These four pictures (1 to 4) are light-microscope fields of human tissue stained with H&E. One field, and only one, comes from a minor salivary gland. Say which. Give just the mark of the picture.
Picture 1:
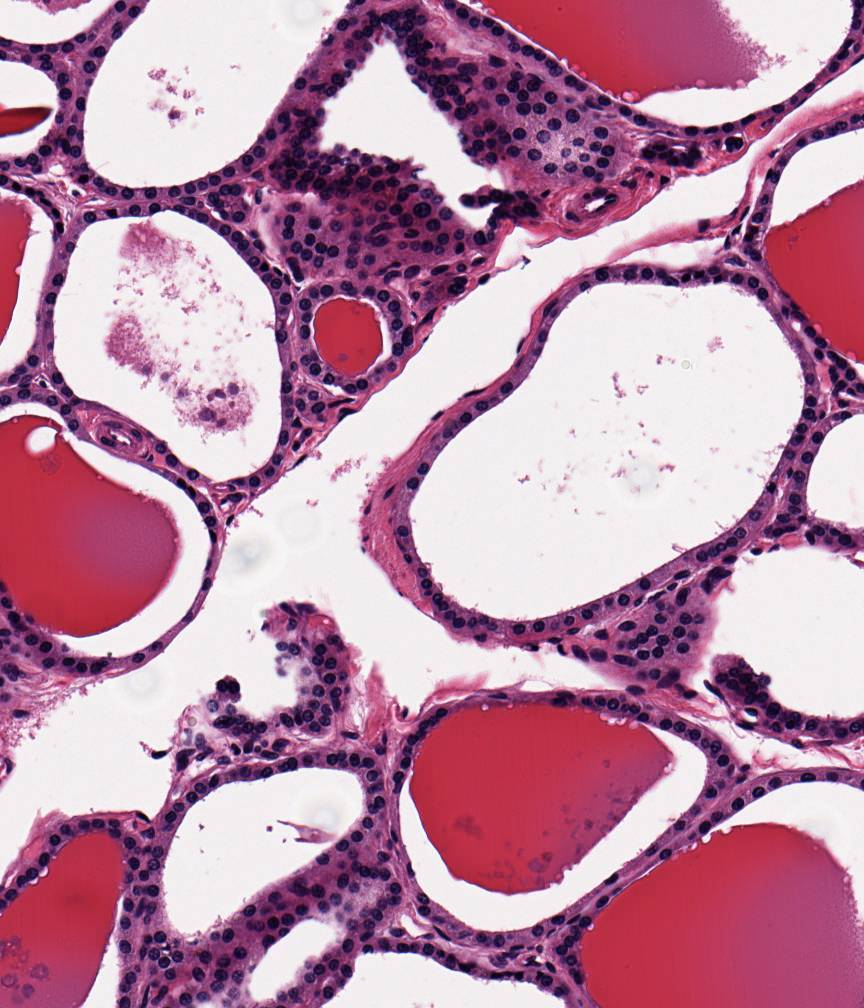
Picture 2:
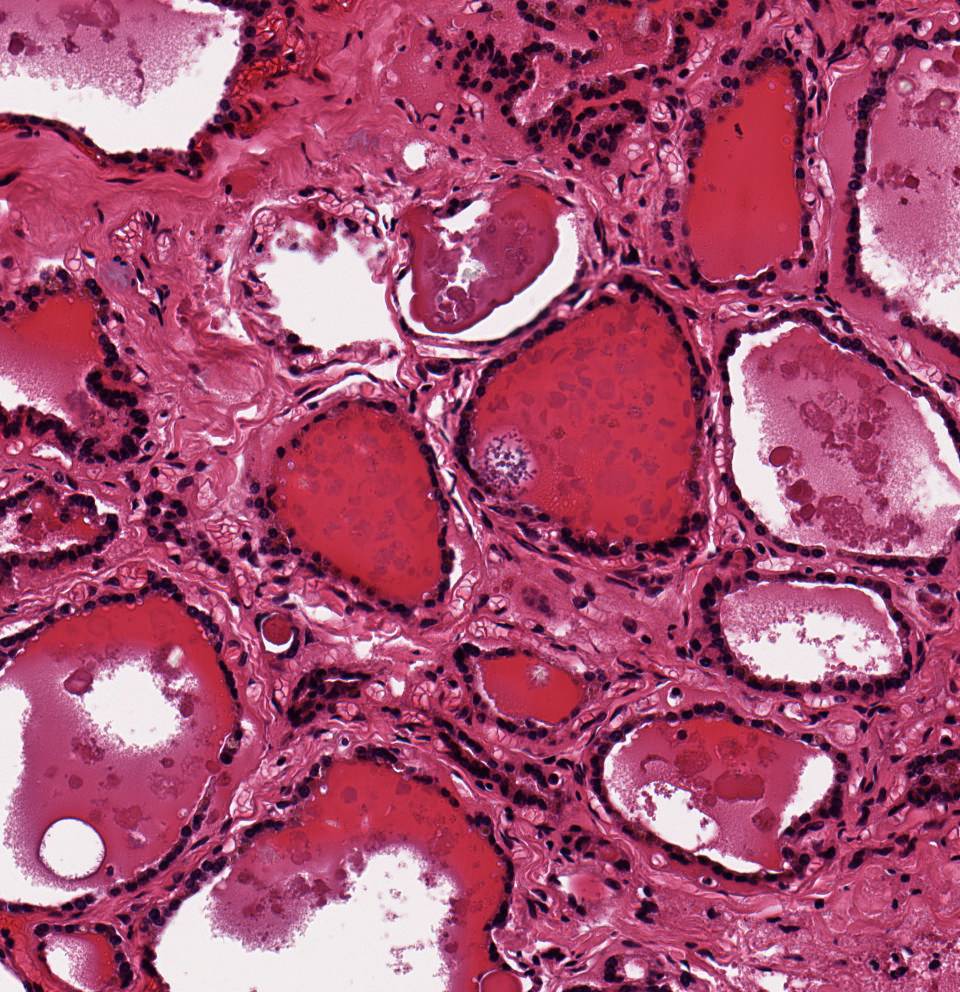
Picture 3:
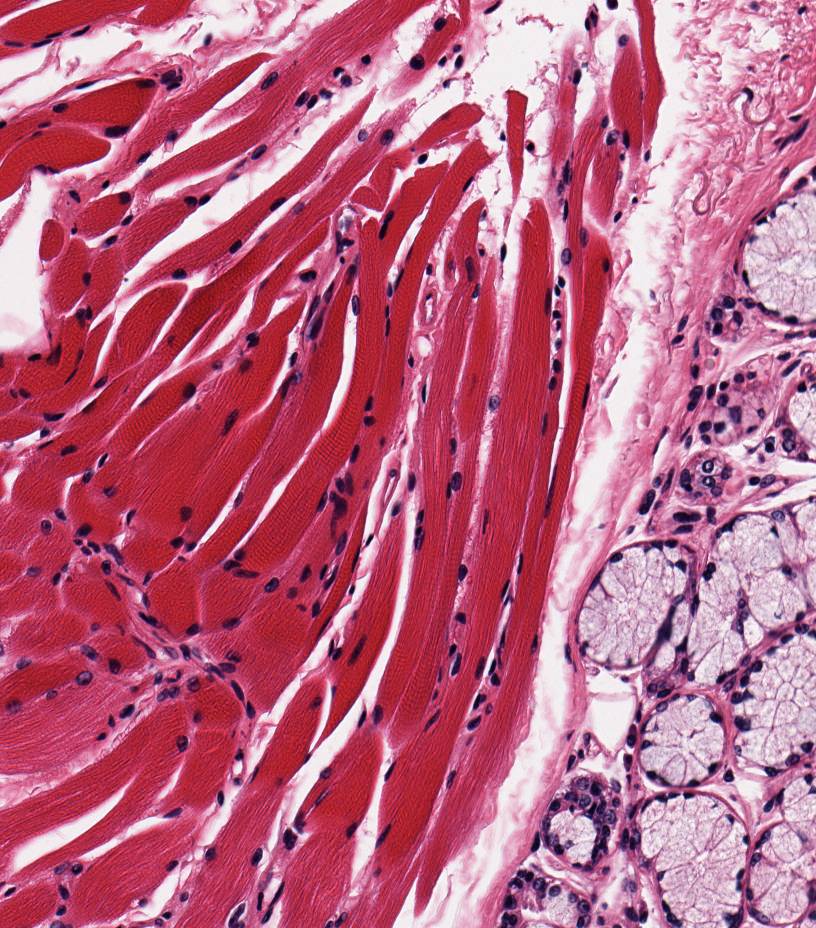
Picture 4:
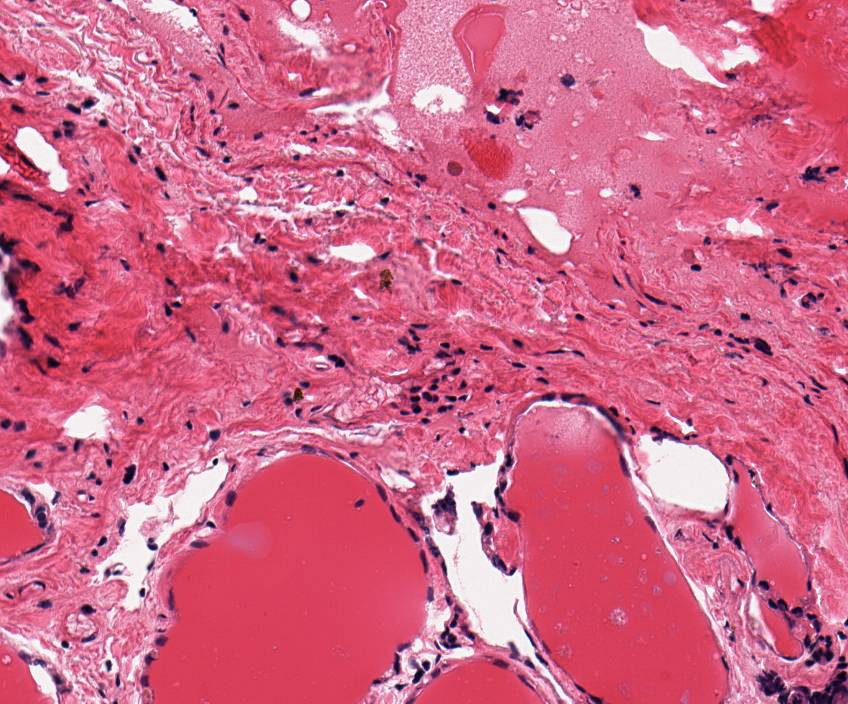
3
